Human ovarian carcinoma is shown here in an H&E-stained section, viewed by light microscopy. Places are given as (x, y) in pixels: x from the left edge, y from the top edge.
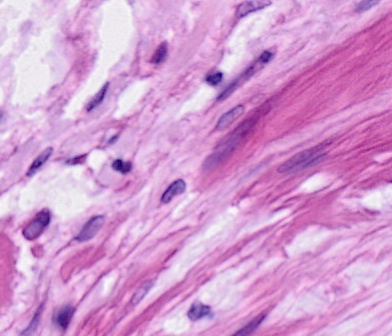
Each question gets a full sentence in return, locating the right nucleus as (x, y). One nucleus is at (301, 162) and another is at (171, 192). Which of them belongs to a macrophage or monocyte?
Of the pair, the nucleus positioned at (171, 192) is that of a macrophage or monocyte.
